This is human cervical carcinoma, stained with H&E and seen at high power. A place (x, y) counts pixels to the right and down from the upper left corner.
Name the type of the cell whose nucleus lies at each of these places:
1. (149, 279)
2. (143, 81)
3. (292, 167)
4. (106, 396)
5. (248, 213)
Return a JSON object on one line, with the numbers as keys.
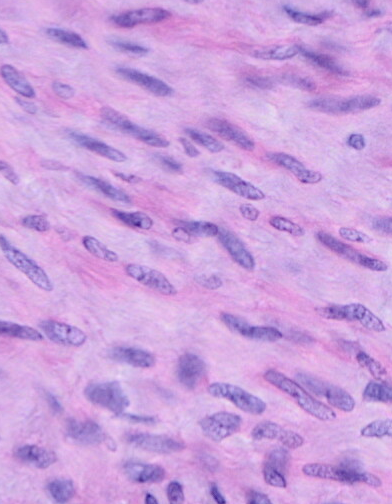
{"1": "smooth muscle cell", "2": "fibroblast", "3": "smooth muscle cell", "4": "fibroblast", "5": "smooth muscle cell"}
